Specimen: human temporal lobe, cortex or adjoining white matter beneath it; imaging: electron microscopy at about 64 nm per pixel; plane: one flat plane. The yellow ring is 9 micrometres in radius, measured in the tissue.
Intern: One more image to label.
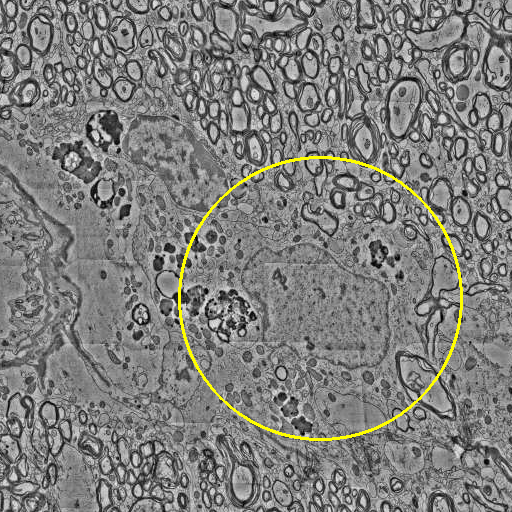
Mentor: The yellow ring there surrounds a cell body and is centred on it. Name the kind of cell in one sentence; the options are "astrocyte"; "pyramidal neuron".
The ring marks the cell body of an astrocyte.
